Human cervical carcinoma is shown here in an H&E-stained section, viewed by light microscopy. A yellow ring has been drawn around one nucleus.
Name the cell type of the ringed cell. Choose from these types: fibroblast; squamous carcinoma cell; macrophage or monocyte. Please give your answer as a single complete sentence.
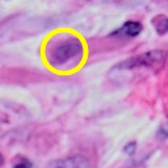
The correct response here is that the ringed cell is a macrophage or monocyte.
